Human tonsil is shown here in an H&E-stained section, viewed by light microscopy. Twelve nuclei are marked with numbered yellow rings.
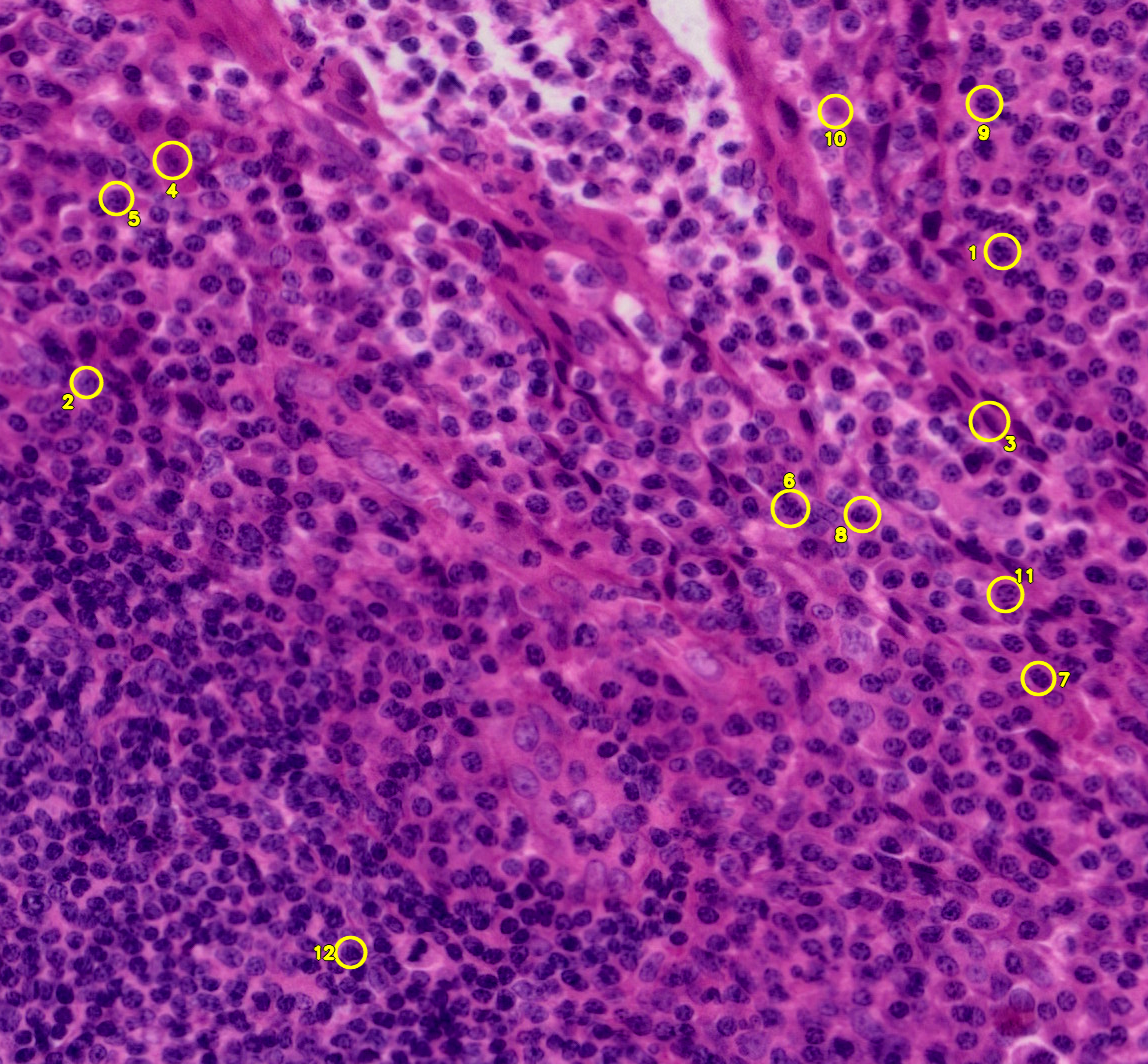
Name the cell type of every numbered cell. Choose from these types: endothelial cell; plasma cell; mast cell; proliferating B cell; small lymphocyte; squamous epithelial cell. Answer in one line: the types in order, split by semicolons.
plasma cell; squamous epithelial cell; squamous epithelial cell; squamous epithelial cell; plasma cell; plasma cell; plasma cell; plasma cell; plasma cell; squamous epithelial cell; plasma cell; small lymphocyte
